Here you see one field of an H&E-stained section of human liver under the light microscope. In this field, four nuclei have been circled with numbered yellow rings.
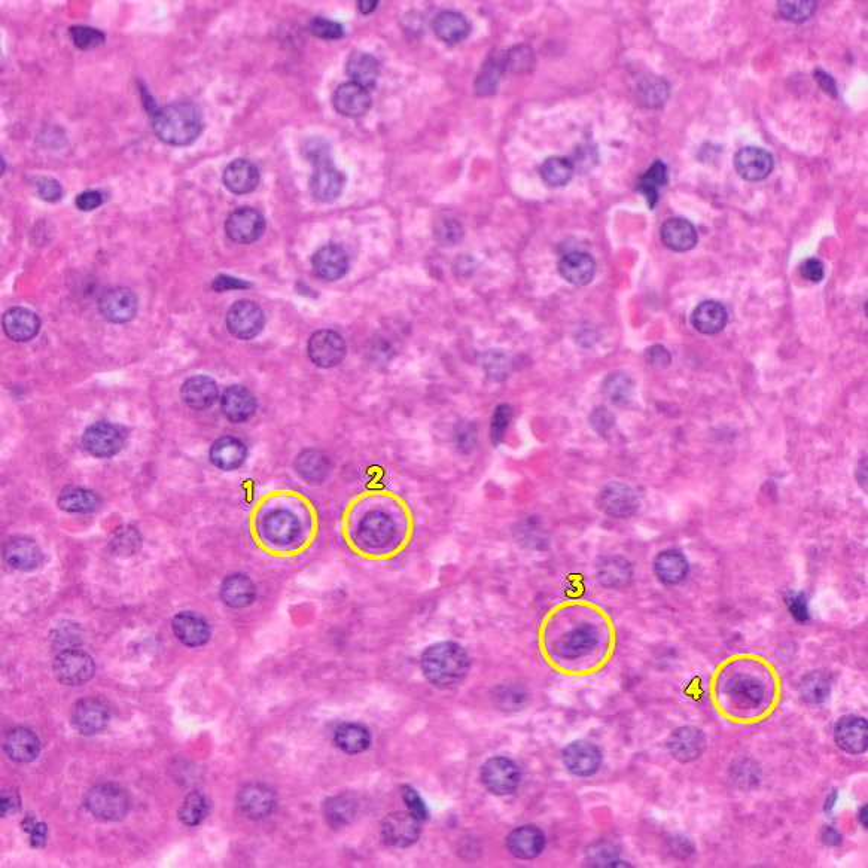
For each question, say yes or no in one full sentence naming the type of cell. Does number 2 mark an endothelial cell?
No; cell 2 is a hepatocyte, not an endothelial cell.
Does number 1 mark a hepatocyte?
Yes, in the section, number 1 is a hepatocyte.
